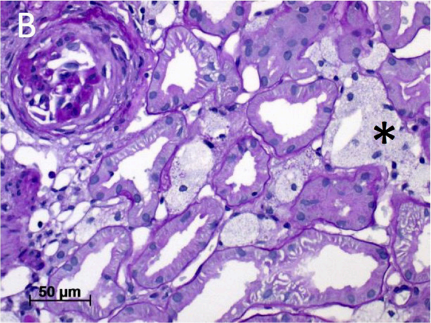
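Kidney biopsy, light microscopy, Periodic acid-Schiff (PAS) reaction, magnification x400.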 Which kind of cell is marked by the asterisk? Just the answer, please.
Foam cell nests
